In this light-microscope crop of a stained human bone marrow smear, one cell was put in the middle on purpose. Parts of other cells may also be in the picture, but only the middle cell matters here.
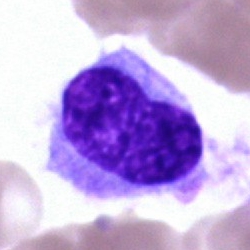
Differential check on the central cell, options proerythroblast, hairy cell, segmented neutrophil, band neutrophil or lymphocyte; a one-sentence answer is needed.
What the crop centres on is a hairy cell.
